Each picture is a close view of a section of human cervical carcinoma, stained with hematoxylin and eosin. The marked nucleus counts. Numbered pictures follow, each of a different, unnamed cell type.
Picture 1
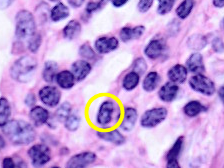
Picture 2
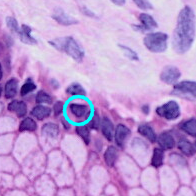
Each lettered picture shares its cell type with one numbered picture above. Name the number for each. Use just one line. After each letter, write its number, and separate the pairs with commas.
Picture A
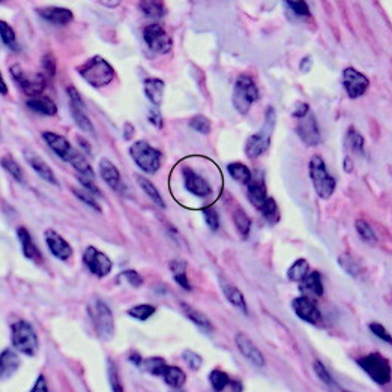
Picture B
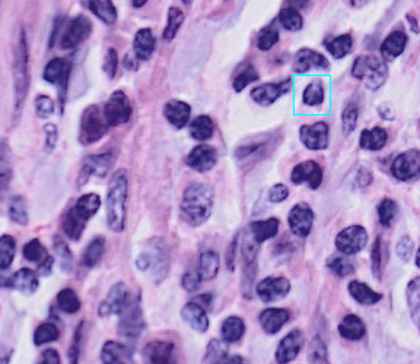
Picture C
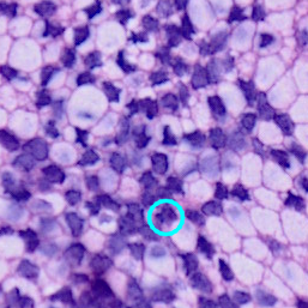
A 1, B 1, C 2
